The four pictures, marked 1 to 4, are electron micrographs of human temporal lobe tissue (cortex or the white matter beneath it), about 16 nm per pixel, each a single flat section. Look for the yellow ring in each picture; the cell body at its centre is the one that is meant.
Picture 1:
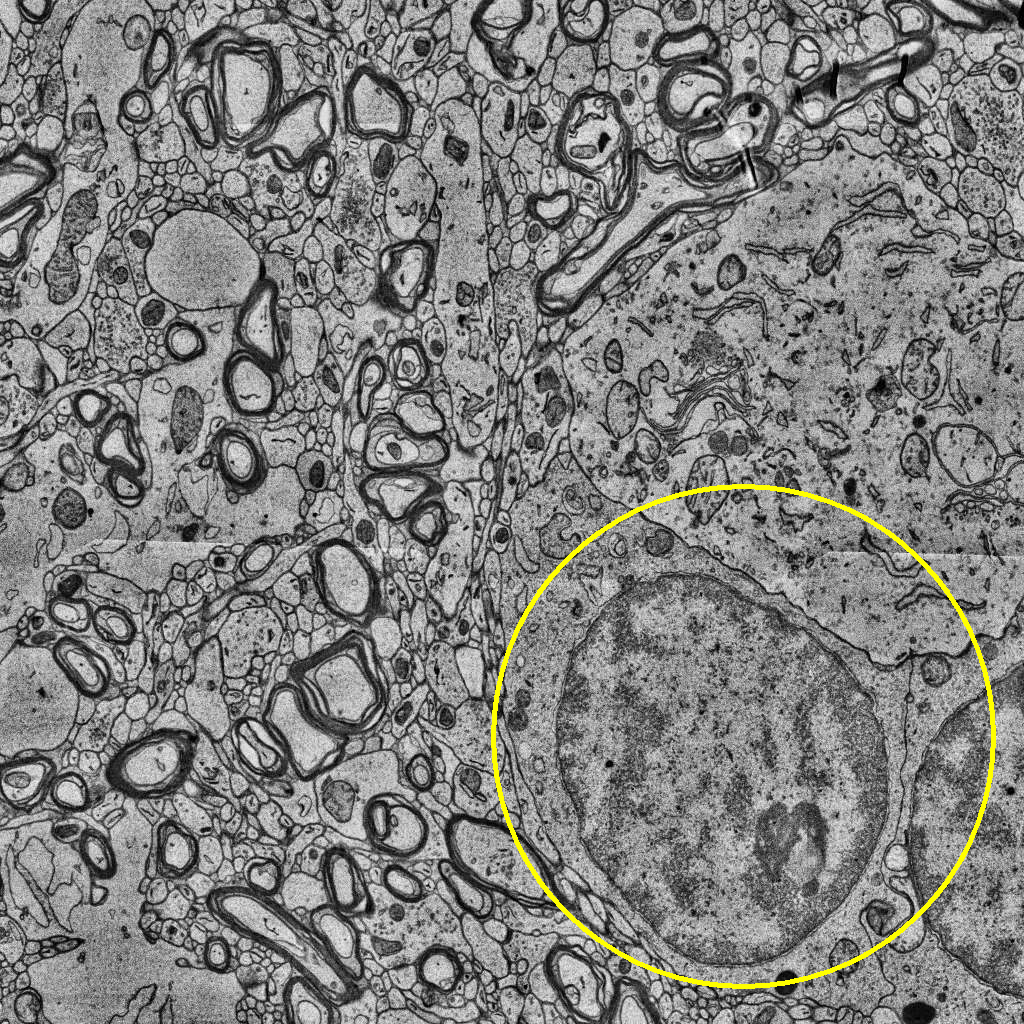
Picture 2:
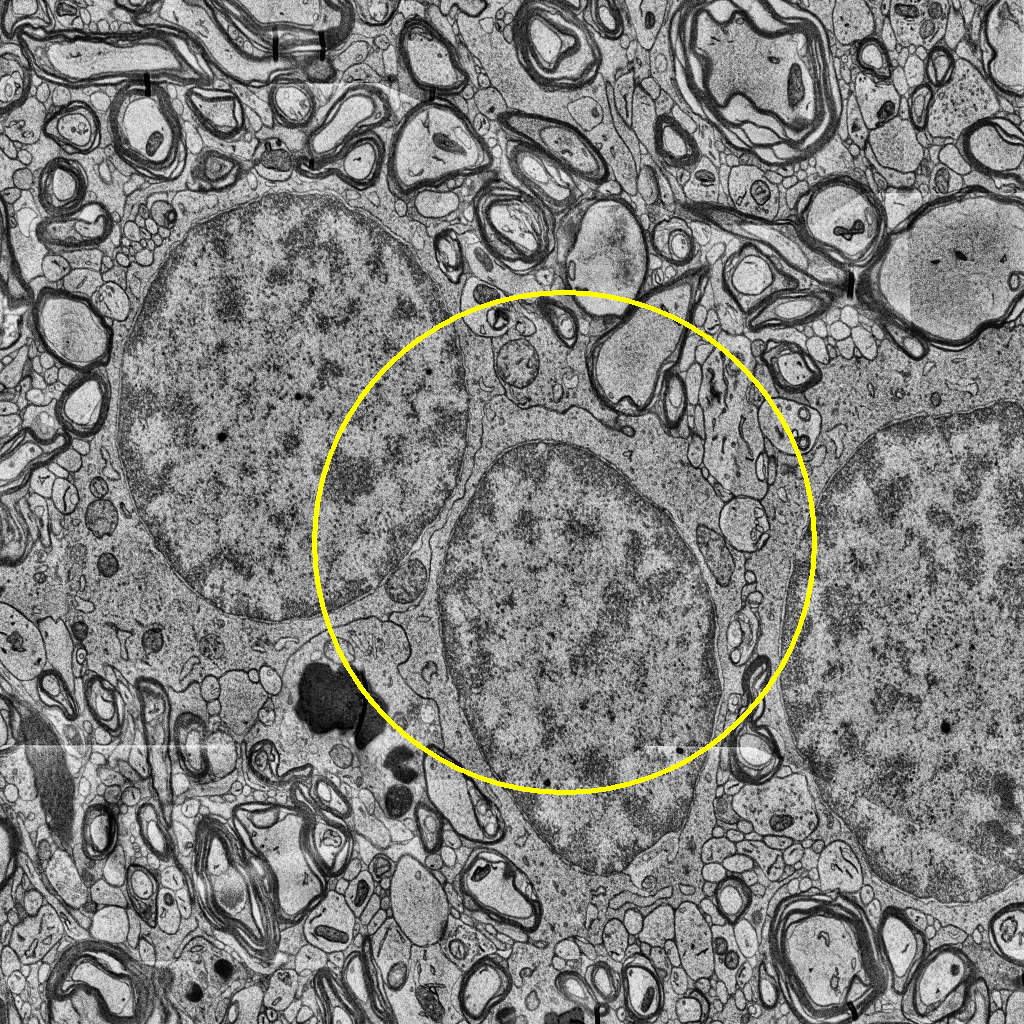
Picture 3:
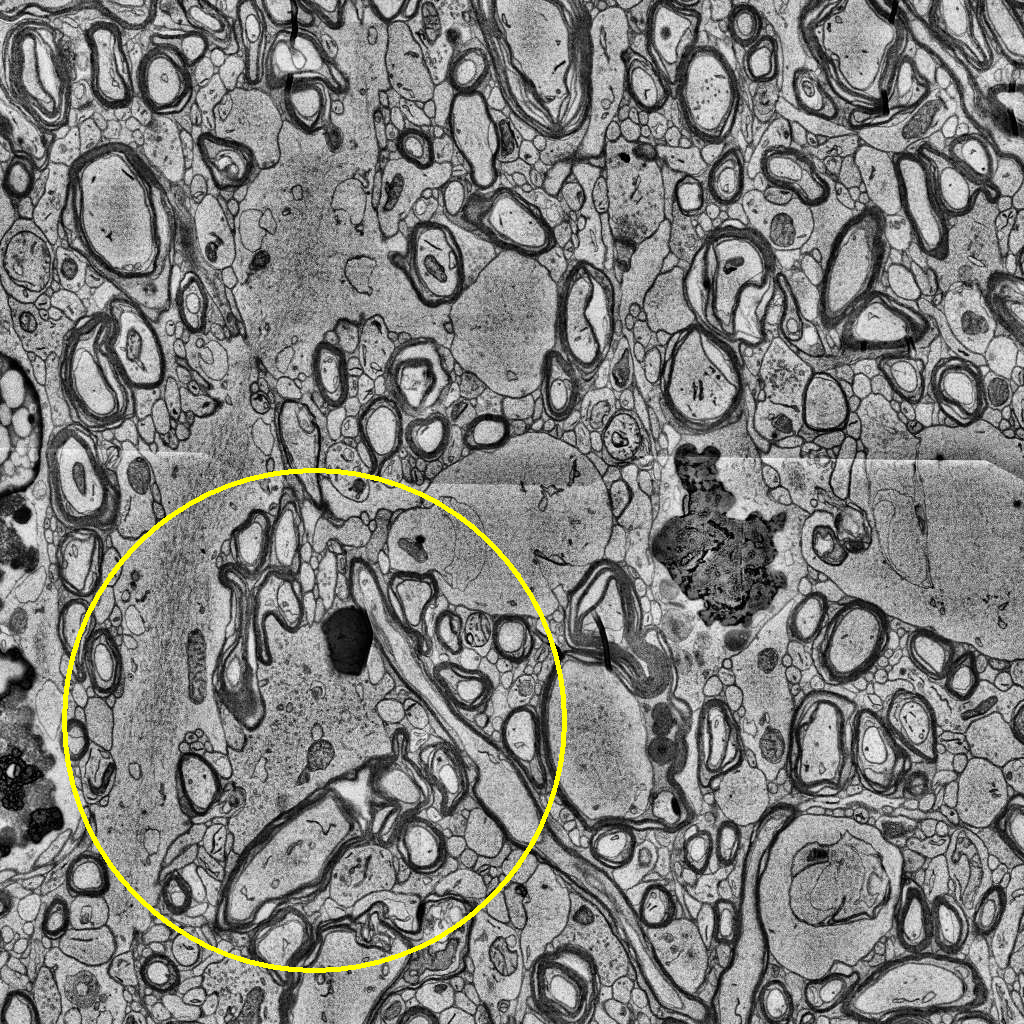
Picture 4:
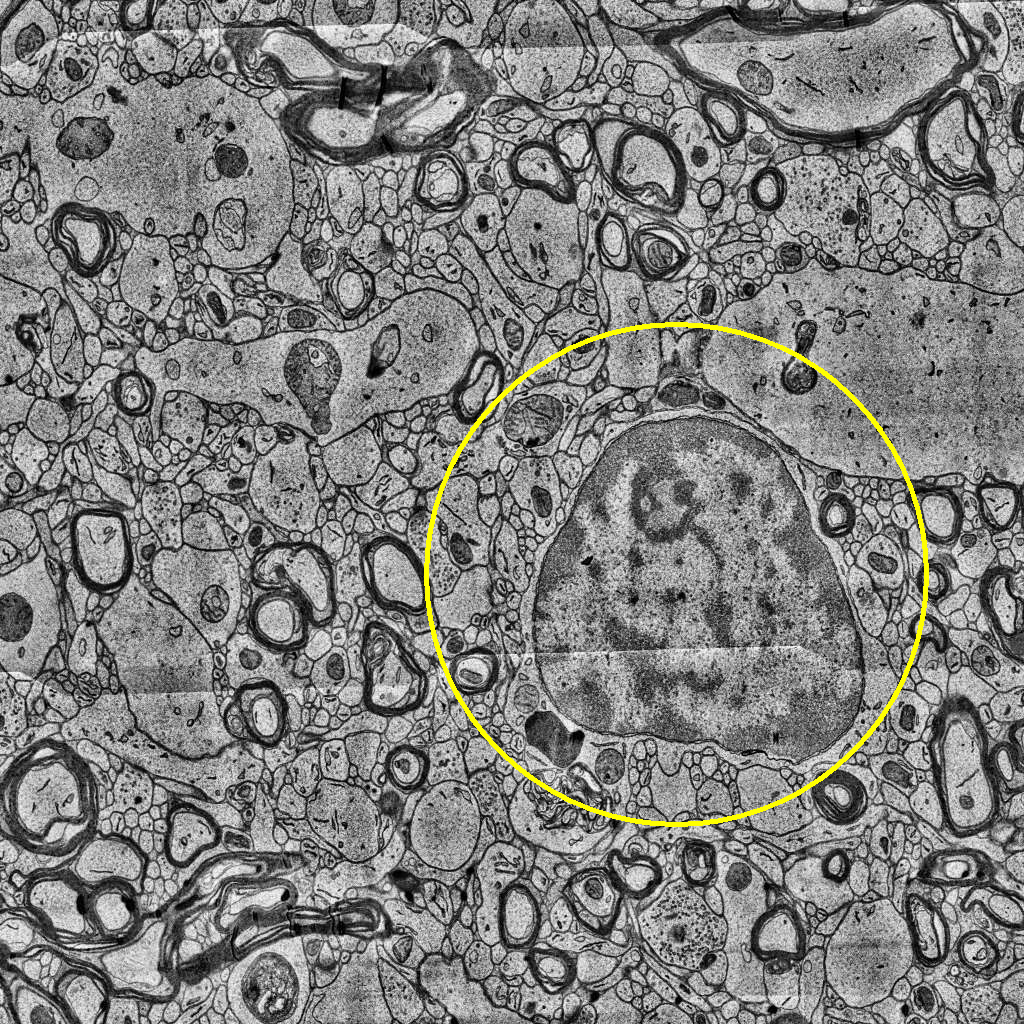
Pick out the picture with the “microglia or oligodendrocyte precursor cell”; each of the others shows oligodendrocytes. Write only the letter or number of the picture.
4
